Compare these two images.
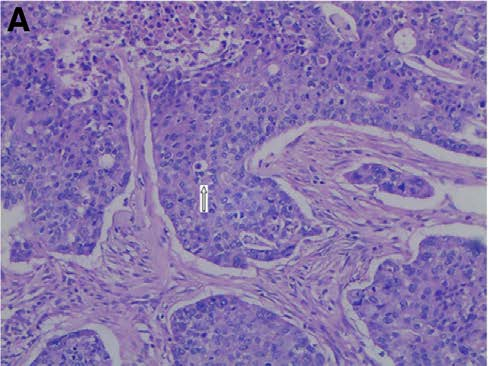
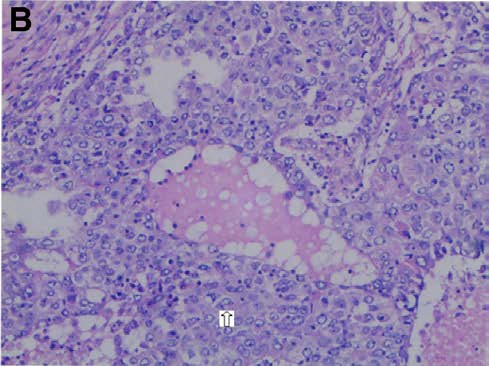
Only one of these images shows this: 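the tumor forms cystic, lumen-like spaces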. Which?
The second image.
